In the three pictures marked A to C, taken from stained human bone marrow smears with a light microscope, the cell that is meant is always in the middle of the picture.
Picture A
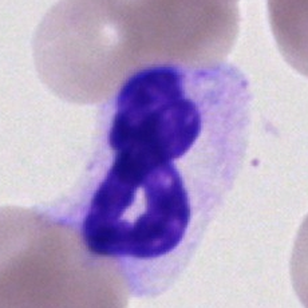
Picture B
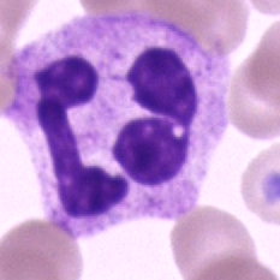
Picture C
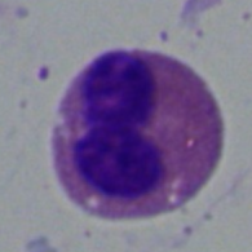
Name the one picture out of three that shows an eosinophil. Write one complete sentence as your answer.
The cell in picture C is the eosinophil.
